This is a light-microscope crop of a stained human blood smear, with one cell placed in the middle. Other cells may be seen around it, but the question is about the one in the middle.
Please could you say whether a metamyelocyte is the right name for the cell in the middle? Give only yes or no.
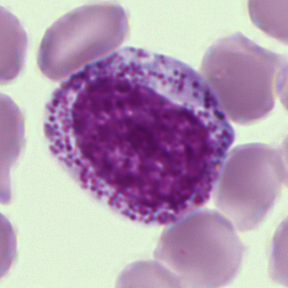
no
